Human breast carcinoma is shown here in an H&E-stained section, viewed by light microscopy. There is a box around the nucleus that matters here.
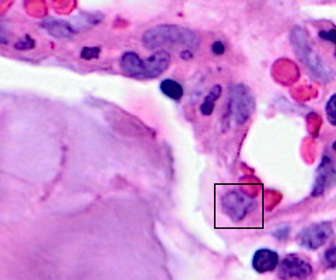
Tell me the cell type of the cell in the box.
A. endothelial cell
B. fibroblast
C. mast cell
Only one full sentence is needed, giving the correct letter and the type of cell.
The correct option, A, describes the cell in the box as an endothelial cell.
